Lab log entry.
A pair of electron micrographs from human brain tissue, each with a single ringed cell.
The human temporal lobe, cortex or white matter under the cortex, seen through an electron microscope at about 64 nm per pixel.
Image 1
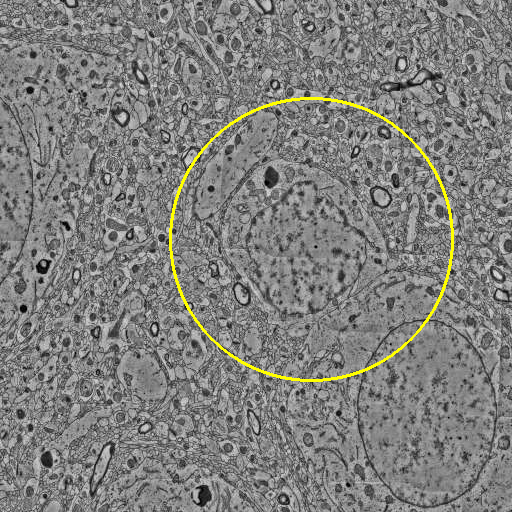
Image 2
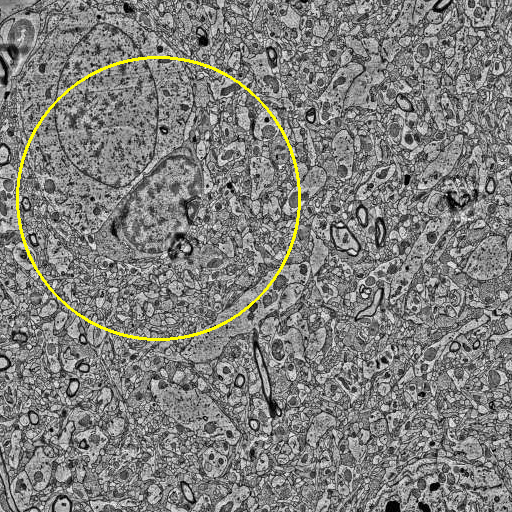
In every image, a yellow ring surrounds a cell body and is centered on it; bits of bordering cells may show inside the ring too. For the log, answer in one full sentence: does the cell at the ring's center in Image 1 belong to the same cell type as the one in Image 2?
No, the cells at the ring centers in Image 1 and Image 2 are of separate types.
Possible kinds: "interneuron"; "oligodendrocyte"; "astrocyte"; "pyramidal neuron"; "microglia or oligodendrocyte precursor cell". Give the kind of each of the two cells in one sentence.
The cell in the second picture is an oligodendrocyte, and that in the first is an interneuron.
